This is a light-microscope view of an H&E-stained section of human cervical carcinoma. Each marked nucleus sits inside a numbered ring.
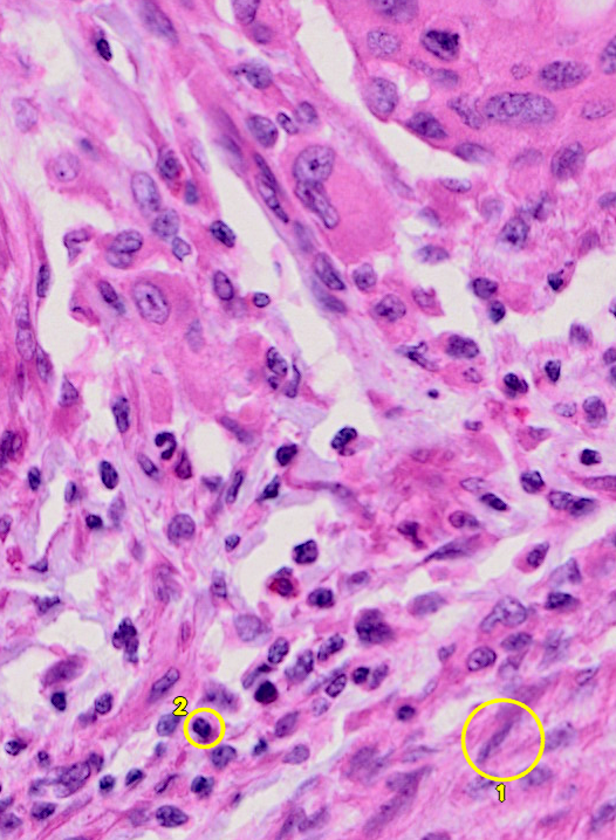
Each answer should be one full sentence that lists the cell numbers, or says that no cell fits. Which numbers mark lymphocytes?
Of the cells carrying numbers, just cell 2 is a lymphocyte.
